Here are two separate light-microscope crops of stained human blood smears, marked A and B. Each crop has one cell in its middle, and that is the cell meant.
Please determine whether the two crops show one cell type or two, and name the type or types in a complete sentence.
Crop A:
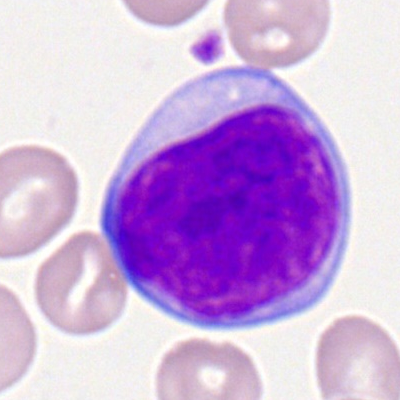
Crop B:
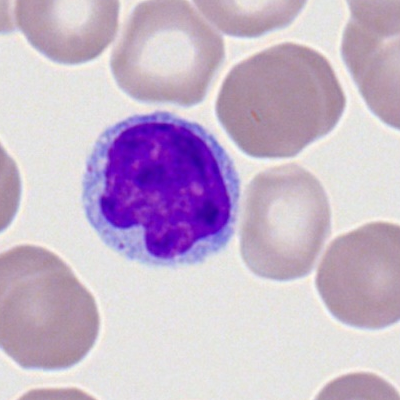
No, crop A presents a blast, whereas crop B presents a lymphocyte.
